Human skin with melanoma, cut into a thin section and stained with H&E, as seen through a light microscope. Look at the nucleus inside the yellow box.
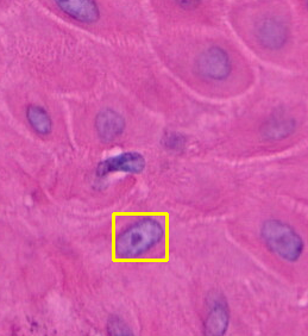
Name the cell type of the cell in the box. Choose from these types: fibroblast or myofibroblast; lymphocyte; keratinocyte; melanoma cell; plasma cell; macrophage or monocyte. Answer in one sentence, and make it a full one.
In this field of tissue, the cell in the box is a keratinocyte.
